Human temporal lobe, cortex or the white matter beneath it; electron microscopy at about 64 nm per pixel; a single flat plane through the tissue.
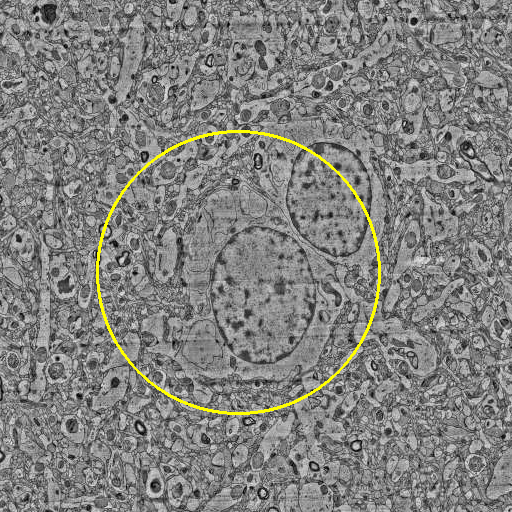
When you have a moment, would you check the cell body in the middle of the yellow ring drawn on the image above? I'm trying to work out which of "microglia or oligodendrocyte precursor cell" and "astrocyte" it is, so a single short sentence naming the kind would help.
This cell body belongs to an astrocyte.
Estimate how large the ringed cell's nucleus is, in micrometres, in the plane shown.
The nucleus works out at approximately 9 by 7 micrometres in this plane.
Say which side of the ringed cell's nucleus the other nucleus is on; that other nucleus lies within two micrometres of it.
The second nucleus sits to the upper right of it.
